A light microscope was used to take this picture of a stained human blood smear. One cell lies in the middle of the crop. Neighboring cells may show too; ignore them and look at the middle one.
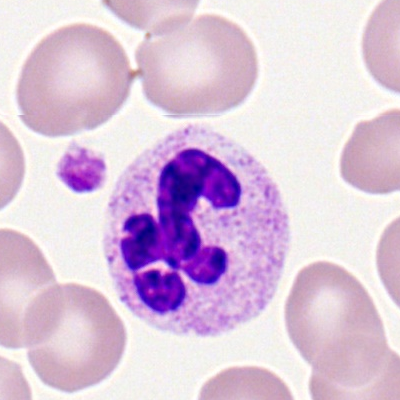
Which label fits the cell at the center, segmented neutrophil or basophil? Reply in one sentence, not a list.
The crop shows a segmented neutrophil in its centre.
